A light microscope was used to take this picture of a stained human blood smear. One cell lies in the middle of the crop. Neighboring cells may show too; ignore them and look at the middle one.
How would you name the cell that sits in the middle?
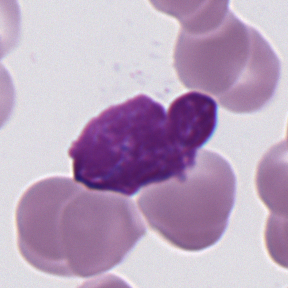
smudge cell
